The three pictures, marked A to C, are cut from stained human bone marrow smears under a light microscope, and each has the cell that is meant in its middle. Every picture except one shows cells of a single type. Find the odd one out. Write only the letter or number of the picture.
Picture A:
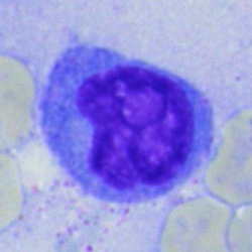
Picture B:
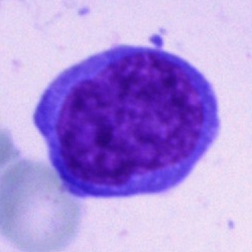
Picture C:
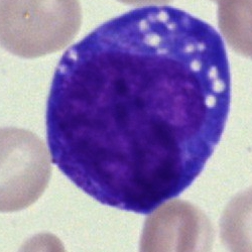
A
